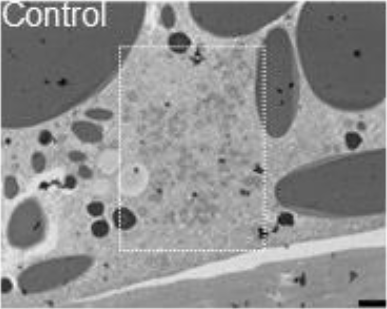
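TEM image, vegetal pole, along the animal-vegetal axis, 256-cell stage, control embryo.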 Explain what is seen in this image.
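This electron micrograph shows embryonic cytoplasm with a region of germ plasm holding many mitochondria, outlined by a dashed box. Inside the box the cytoplasm is pale and finely granular, with numerous small rounded and elongated profiles clustered together. Around the boxed region lie large, smooth, dark-grey oval bodies that are many times the size of the profiles in the box. Scattered small very dark dots and a few pale round vesicles lie in the surrounding cytoplasm. The germ plasm thus forms a distinct zone of finer texture set among the large dense bodies.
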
